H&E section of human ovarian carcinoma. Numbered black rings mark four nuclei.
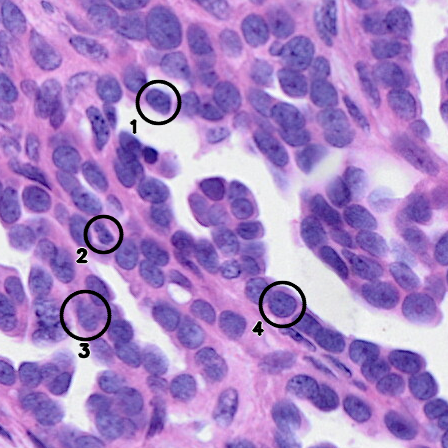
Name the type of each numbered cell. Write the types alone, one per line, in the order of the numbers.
carcinoma cell
macrophage or monocyte
carcinoma cell
carcinoma cell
